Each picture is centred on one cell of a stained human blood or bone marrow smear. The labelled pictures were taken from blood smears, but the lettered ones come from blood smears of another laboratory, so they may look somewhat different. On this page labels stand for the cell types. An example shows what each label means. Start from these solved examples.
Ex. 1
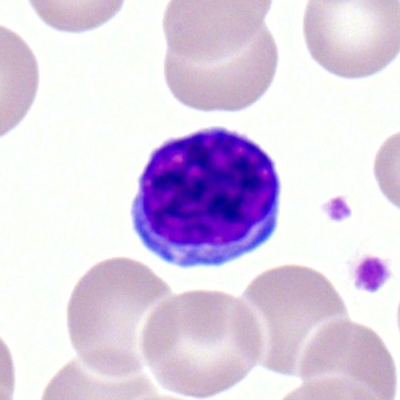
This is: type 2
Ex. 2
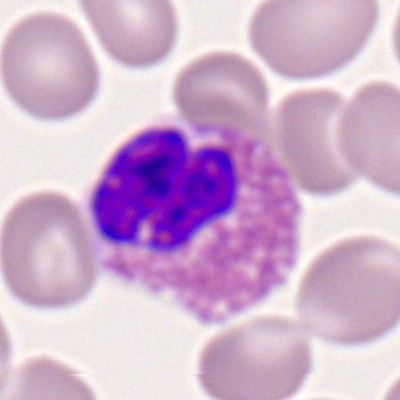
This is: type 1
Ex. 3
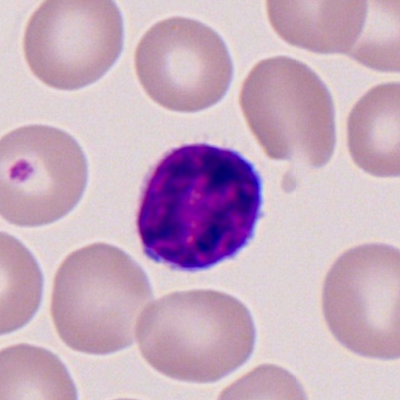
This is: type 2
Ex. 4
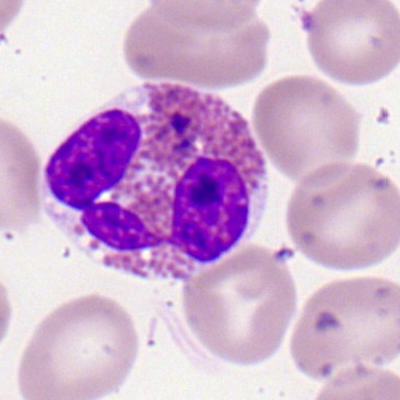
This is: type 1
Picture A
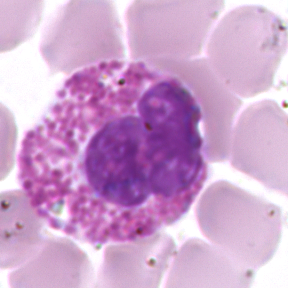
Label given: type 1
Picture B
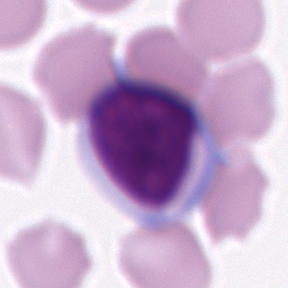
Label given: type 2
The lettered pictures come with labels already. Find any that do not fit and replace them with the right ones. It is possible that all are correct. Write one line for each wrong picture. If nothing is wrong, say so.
Every label is right.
